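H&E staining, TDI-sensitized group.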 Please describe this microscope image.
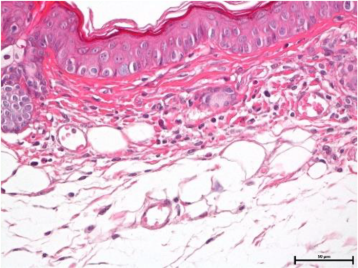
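This is skin with a stratified squamous epidermis over a dermis. The epidermis is several cell layers thick, with plump keratinocytes bearing round purple nuclei beneath a dense, wavy, bright pink keratin layer. The underlying upper dermis is densely populated with many small dark nuclei of infiltrating cells scattered among pink collagen bundles. Small vessels and rounded clear spaces resembling fat cells lie deeper in the dermis. Compared with normal thin skin, the epidermis looks thickened and the dermis is crowded with cells.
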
